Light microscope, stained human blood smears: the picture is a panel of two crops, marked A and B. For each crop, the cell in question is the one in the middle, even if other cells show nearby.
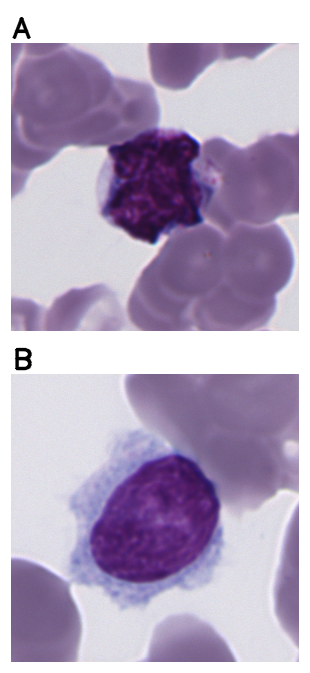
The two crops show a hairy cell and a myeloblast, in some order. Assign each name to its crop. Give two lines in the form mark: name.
A: myeloblast
B: hairy cell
